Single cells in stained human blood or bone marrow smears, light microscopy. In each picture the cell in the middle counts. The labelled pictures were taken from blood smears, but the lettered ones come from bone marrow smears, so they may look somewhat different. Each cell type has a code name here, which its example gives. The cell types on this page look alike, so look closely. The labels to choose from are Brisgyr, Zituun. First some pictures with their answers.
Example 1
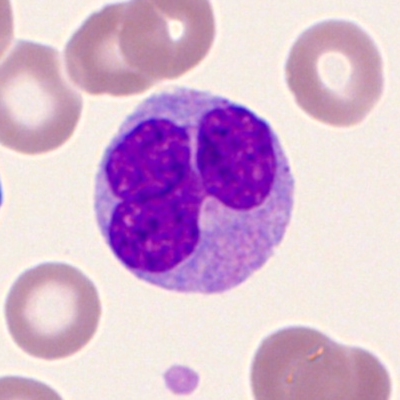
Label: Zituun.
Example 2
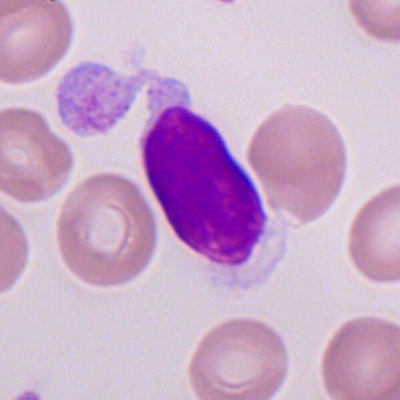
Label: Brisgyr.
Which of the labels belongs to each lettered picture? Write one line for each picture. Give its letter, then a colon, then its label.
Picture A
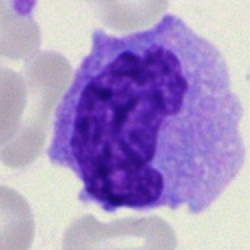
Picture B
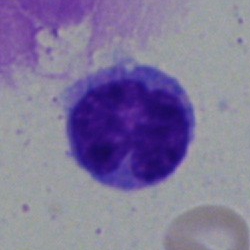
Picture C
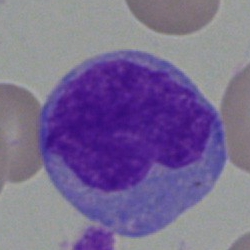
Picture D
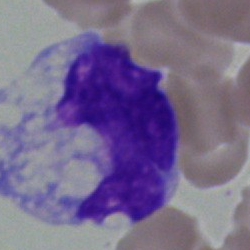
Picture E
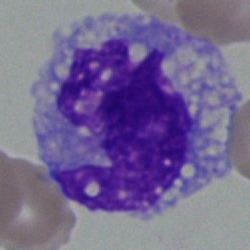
A: Zituun.
B: Zituun.
C: Zituun.
D: Zituun.
E: Zituun.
